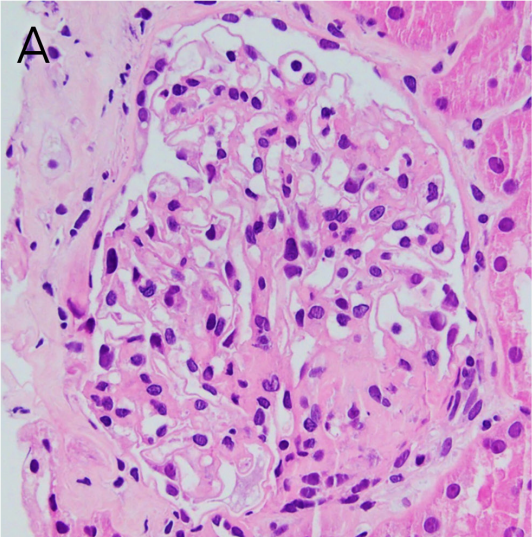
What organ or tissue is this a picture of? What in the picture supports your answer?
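Glomerulus. A round tuft of capillary loops with many nuclei fills the centre. A clear space and a thin capsule surround the tuft. Tubules with pink cytoplasm lie around it.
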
